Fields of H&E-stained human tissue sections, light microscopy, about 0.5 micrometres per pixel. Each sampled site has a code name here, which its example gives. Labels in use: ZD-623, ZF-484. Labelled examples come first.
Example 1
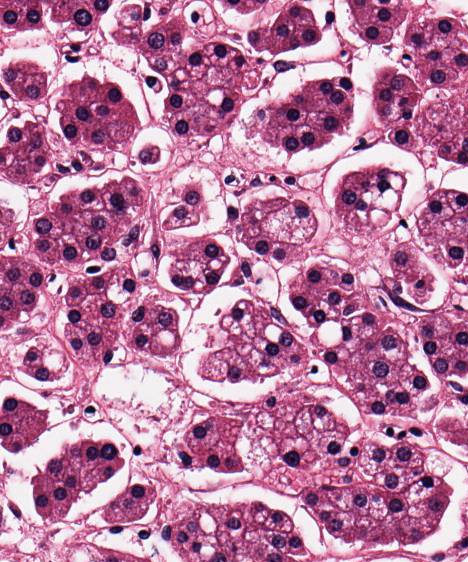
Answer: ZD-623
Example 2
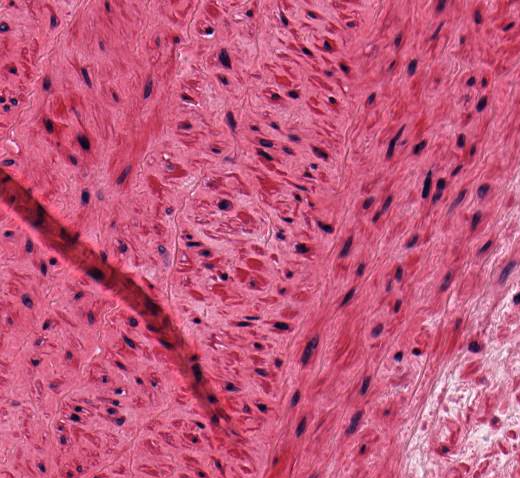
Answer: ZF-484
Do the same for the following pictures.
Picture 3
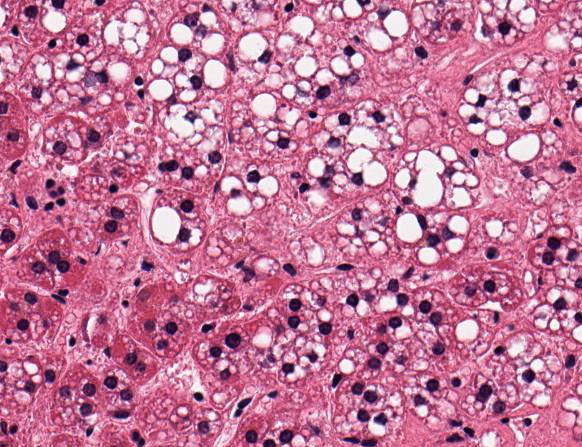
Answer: ZD-623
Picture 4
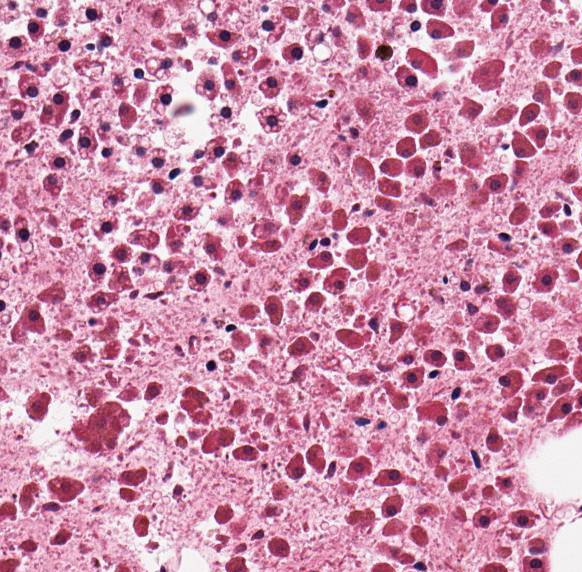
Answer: ZD-623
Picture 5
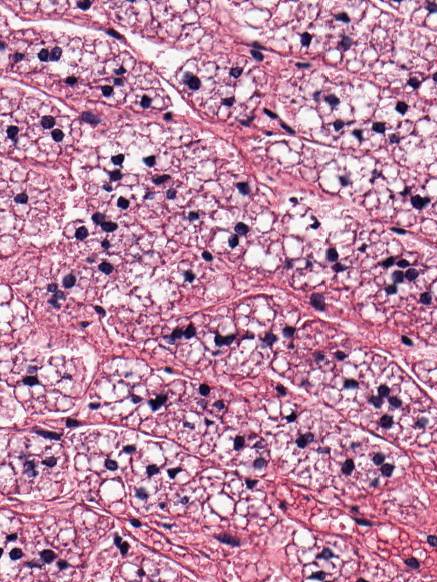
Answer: ZD-623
